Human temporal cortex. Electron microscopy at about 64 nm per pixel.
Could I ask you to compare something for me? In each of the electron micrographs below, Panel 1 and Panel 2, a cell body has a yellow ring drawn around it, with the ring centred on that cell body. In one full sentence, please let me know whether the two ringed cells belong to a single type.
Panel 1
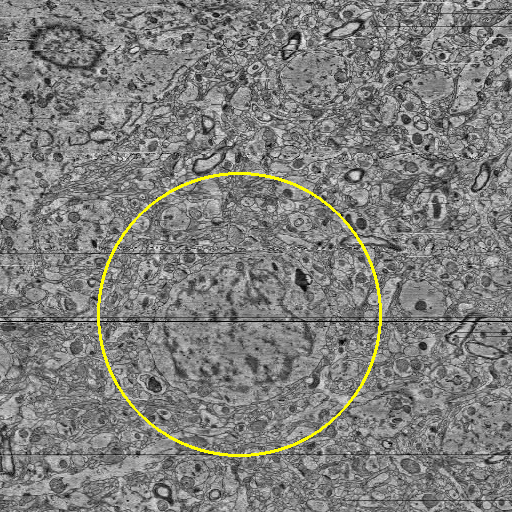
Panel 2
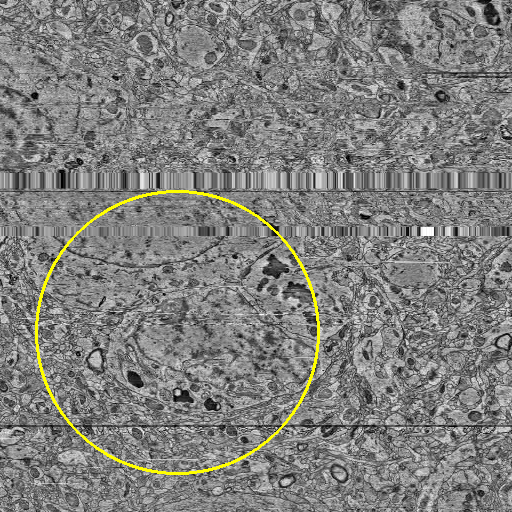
Yes, the two cells at the centres of the rings are of one type.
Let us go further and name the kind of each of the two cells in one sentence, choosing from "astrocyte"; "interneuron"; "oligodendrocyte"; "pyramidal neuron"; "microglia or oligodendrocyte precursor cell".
Both pictures show an interneuron at the centre of the ring.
